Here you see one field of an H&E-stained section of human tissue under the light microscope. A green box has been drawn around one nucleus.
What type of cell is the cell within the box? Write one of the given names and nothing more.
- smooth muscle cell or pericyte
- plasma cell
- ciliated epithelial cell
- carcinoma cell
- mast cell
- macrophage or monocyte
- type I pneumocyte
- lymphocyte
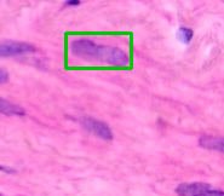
smooth muscle cell or pericyte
